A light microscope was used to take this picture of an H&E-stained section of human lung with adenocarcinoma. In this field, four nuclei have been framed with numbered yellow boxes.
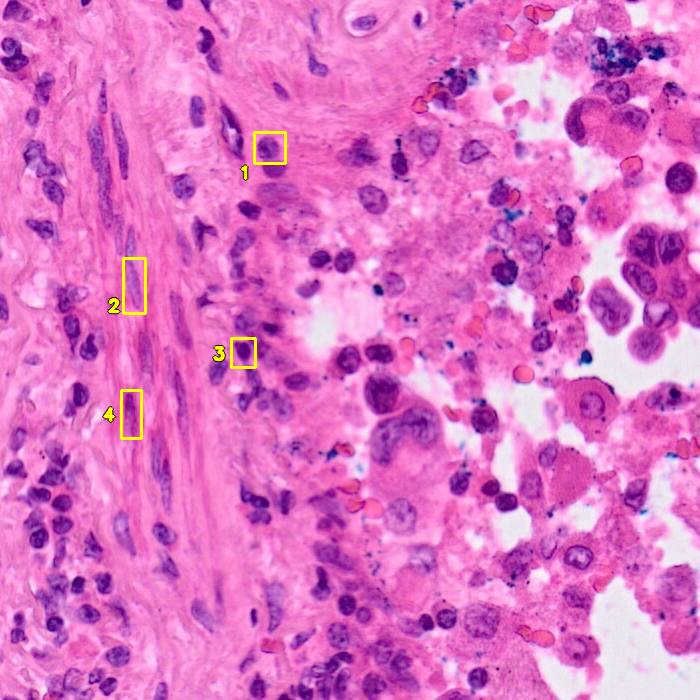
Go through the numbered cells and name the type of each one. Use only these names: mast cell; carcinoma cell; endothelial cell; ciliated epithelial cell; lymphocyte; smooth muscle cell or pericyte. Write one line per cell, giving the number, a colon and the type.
1: lymphocyte
2: smooth muscle cell or pericyte
3: lymphocyte
4: smooth muscle cell or pericyte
